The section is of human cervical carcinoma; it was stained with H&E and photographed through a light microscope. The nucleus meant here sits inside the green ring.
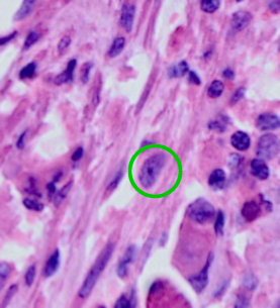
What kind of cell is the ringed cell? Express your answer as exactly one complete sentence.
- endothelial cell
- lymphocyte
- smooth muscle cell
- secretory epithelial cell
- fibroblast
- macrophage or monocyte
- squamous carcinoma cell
Speaking plainly, the ringed cell is nothing other than a macrophage or monocyte.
